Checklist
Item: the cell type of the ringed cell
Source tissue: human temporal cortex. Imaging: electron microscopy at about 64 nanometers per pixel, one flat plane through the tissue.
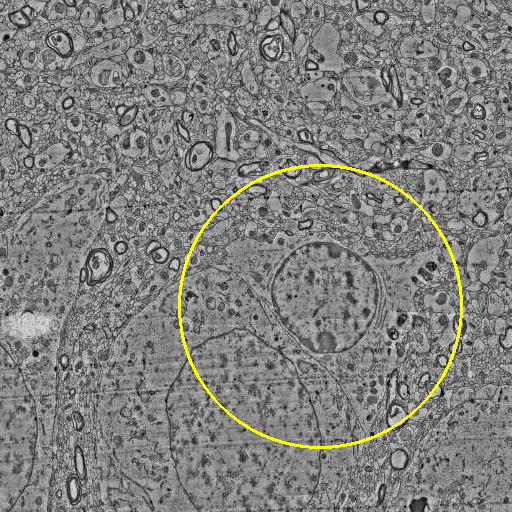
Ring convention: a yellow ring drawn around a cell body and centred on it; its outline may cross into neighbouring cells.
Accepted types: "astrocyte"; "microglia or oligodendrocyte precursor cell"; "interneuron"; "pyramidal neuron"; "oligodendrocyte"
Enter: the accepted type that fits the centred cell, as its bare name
microglia or oligodendrocyte precursor cell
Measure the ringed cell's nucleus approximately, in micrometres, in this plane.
The nucleus measures about 7 micrometers across in this plane.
